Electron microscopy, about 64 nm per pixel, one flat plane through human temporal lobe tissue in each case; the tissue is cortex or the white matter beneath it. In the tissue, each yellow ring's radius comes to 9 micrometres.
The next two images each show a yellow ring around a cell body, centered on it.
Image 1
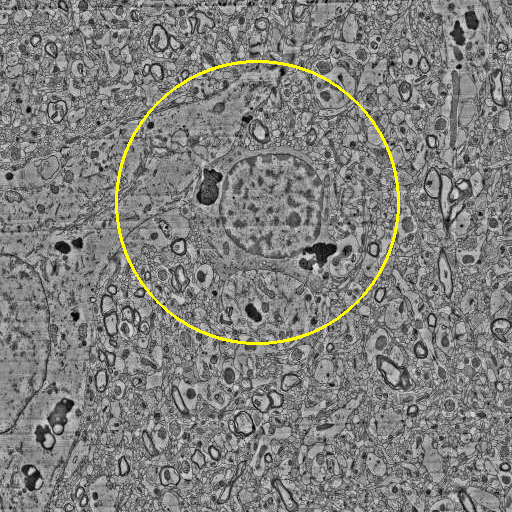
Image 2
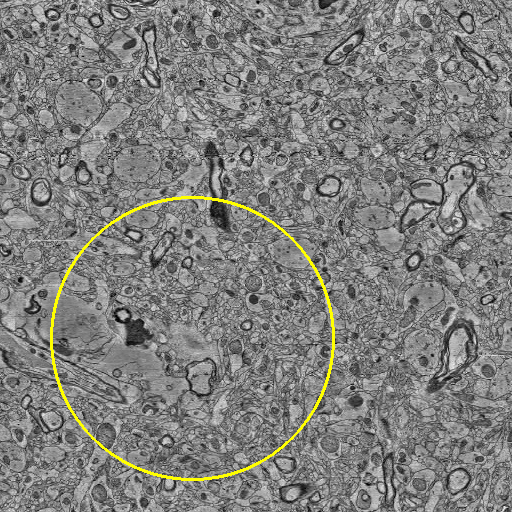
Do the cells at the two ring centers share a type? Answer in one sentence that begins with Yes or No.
Yes, across the two images the cells at the ring centers share one type.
